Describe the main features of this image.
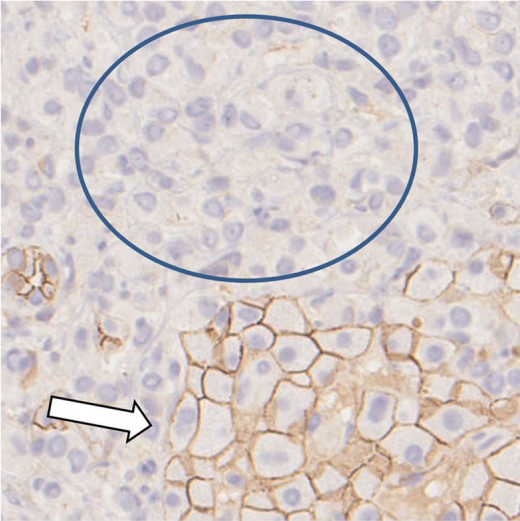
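In the lower right, the liver cells are large and polygonal, with plentiful pale cytoplasm, round central nuclei, and crisp brown outlines tracing every cell border like a honeycomb. In the upper part of the field the tumor cells are smaller, with blue round to oval nuclei, and show no brown outline at all. These unstained cells lie loosely, without the tight, neatly outlined arrangement of their neighbours. The sharp boundary between the outlined and the unoutlined cells makes the tumor area stand out.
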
